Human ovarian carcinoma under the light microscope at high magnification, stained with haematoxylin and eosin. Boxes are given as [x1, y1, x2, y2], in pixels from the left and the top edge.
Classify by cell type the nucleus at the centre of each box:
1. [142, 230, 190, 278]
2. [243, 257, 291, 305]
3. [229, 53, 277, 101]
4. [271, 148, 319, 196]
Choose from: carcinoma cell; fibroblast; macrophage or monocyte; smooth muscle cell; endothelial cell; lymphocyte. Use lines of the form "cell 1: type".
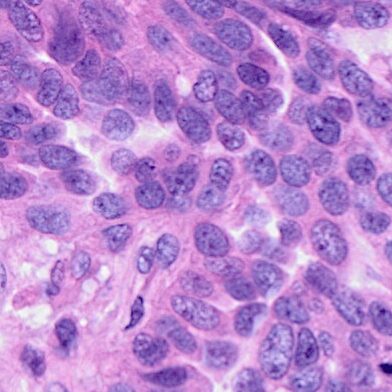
cell 1: fibroblast
cell 2: carcinoma cell
cell 3: carcinoma cell
cell 4: carcinoma cell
